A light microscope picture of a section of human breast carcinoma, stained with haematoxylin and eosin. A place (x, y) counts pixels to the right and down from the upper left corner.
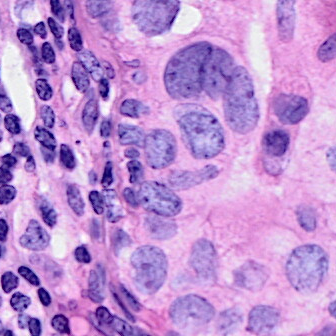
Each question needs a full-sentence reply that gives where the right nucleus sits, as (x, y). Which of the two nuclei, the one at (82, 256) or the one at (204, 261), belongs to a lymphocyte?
The nucleus at (82, 256) is the one that belongs to a lymphocyte.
